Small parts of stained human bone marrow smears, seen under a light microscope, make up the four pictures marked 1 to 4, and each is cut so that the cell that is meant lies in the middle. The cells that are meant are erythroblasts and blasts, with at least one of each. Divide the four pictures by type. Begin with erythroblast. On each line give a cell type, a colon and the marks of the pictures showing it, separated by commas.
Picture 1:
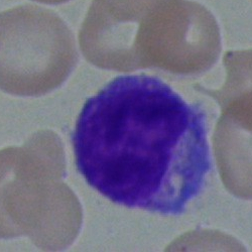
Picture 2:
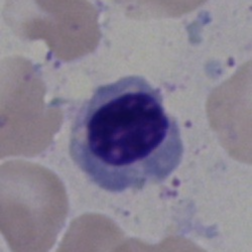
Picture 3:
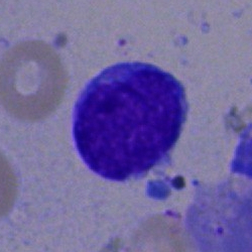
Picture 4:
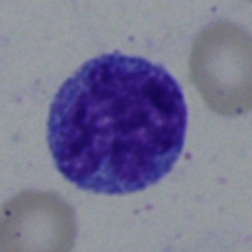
erythroblast: 2
blast: 1, 3, 4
